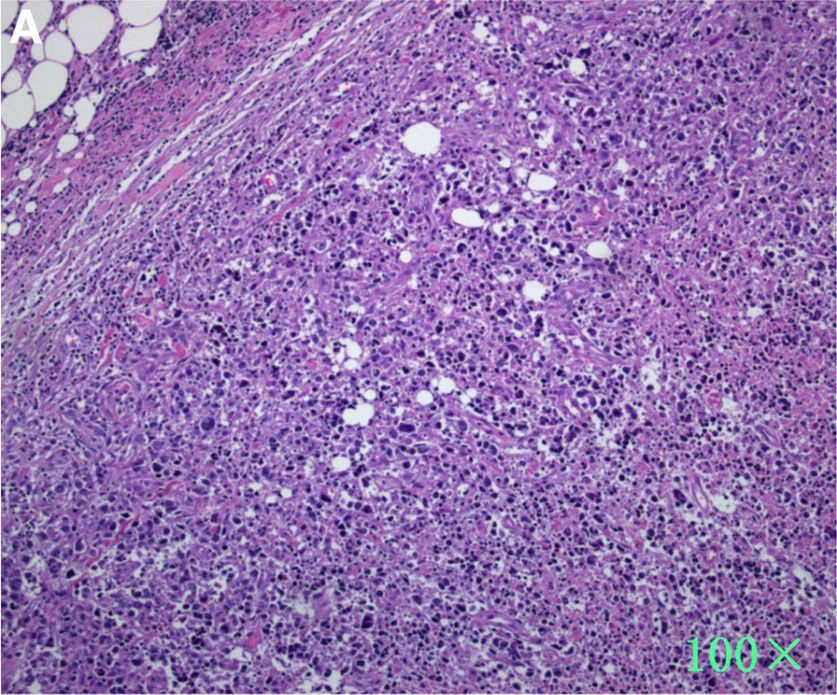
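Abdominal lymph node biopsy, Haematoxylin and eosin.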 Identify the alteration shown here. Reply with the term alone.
The normal nodal architecture was totally effaced.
